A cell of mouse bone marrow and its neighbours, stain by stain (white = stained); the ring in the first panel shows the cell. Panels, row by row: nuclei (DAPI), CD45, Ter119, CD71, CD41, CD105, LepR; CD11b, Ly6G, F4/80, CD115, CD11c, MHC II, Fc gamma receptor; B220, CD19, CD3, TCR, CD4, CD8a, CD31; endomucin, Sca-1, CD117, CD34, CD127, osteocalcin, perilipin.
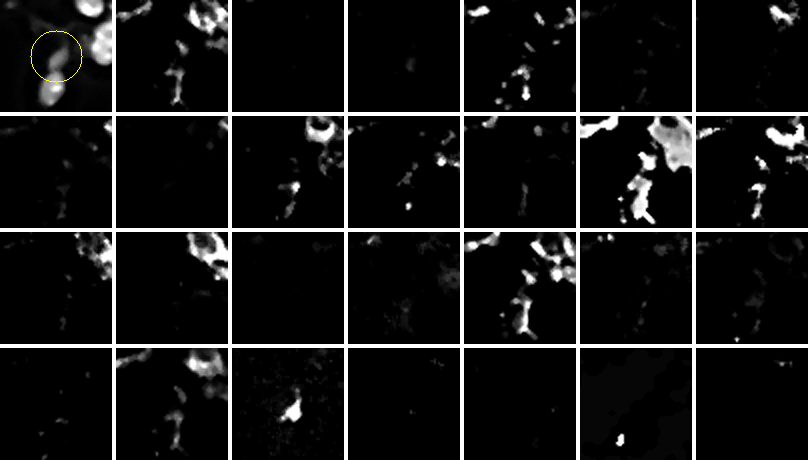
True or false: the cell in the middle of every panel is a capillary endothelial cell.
False; it is a granulocyte-monocyte progenitor.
